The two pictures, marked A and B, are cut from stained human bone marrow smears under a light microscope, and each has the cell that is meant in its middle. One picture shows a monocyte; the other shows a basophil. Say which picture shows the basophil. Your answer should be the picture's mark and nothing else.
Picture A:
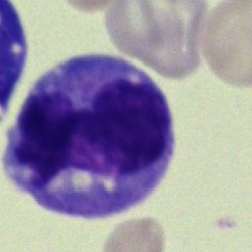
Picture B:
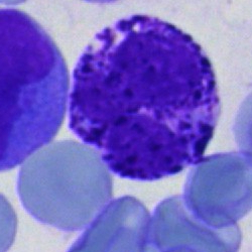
B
